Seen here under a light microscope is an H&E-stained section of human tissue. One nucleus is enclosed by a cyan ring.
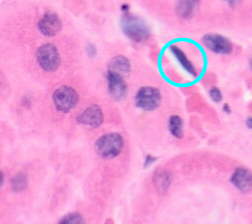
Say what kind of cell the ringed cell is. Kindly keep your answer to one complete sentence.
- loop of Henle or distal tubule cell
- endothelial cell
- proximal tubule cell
Just put down that the ringed cell is an endothelial cell.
